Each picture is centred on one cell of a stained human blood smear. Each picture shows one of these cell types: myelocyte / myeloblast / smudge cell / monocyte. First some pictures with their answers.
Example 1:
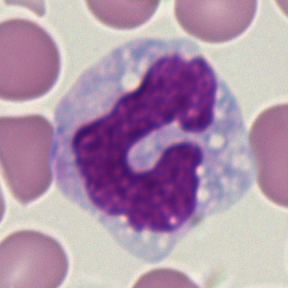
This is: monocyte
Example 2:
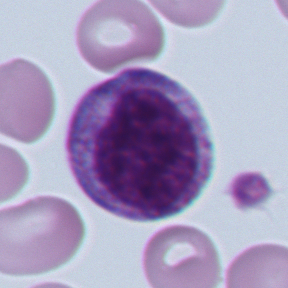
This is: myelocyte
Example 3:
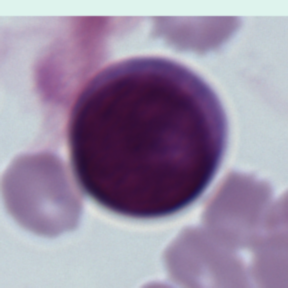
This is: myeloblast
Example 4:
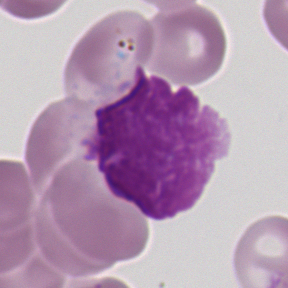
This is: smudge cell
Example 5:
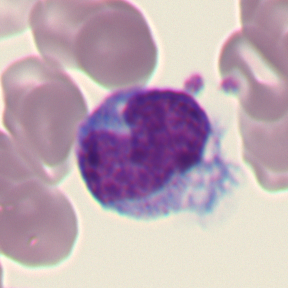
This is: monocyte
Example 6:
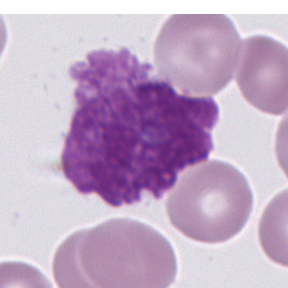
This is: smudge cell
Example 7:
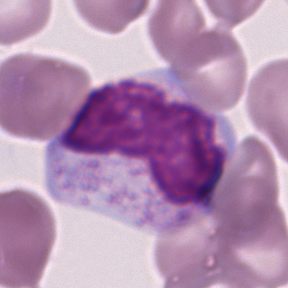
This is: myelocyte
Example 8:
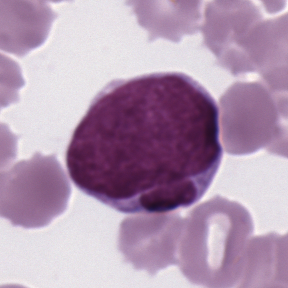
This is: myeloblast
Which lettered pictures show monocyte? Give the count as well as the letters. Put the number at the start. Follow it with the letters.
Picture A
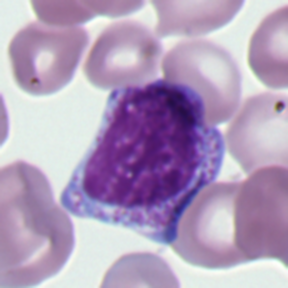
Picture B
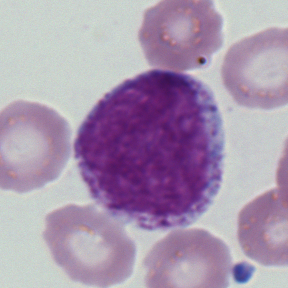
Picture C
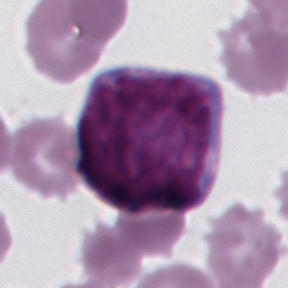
0, none of them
